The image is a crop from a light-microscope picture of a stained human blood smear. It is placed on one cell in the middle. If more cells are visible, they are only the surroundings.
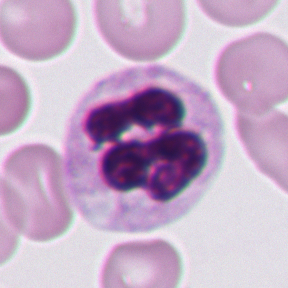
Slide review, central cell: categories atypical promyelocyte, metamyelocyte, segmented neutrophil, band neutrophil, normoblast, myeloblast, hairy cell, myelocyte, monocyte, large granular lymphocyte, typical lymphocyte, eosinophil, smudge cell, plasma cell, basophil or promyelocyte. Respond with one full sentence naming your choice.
At the center of the crop sits a segmented neutrophil.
